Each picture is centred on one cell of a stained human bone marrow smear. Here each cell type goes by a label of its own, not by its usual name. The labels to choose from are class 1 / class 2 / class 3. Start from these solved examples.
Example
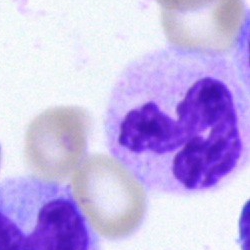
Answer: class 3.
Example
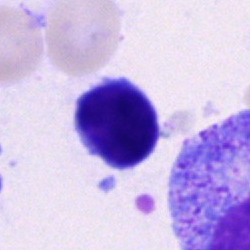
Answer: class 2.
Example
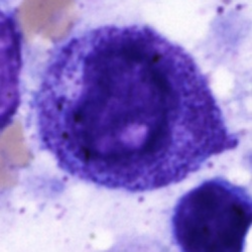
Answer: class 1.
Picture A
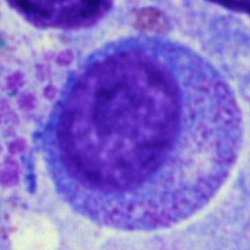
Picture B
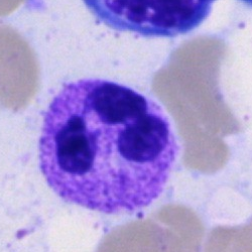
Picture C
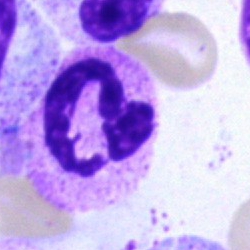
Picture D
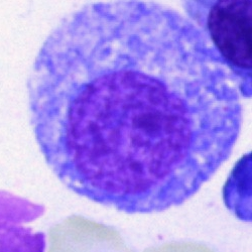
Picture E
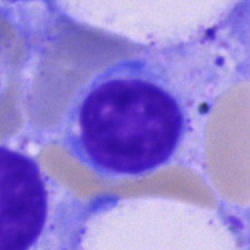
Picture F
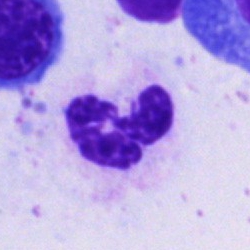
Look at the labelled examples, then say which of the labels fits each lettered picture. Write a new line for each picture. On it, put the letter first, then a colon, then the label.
A: class 1.
B: class 3.
C: class 3.
D: class 1.
E: class 2.
F: class 3.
